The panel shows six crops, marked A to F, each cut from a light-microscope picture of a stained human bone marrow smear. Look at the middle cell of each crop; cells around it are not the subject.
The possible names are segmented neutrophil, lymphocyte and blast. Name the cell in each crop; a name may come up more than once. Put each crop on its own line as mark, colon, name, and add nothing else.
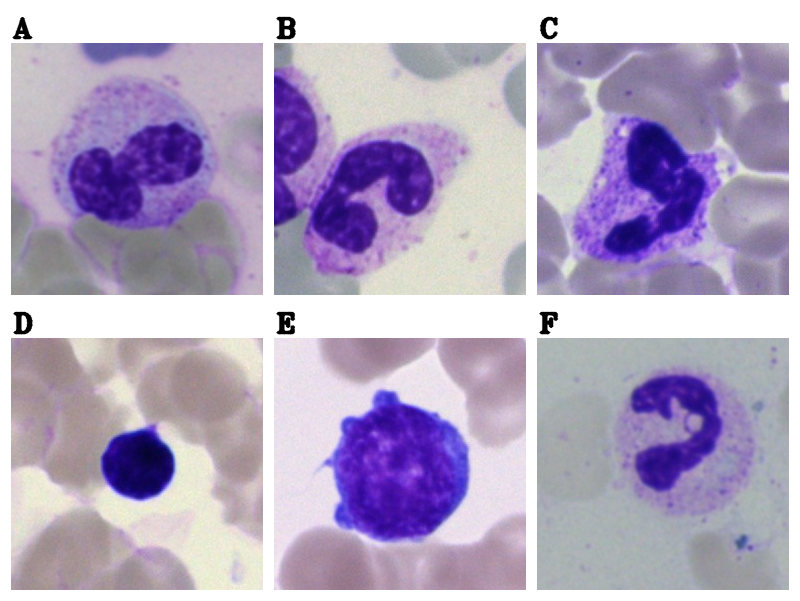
A: segmented neutrophil
B: segmented neutrophil
C: segmented neutrophil
D: lymphocyte
E: blast
F: segmented neutrophil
